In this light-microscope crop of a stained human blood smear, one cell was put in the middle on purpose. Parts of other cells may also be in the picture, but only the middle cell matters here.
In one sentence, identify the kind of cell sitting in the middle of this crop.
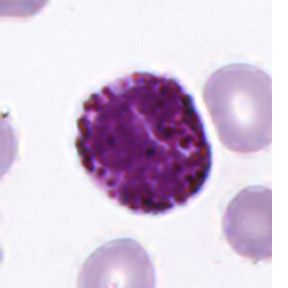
The central cell in this smear crop is a basophil.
